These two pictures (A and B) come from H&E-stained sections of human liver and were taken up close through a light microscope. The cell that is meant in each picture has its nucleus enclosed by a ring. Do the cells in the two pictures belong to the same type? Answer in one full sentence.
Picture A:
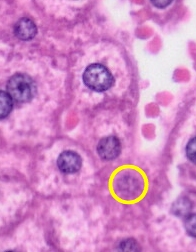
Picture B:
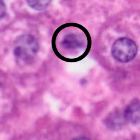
No, they differ: the cell is a hepatocyte in picture A and an endothelial cell in picture B.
